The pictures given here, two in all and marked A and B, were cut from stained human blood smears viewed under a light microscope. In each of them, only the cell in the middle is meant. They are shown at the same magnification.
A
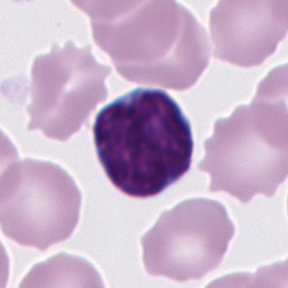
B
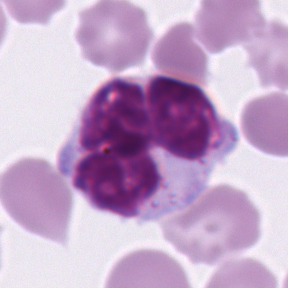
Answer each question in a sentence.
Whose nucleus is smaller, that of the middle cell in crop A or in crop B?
Crop A shows the smaller nucleus, since that in crop B covers about 1.5 times as much area.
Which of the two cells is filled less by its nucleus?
The nucleus fills less of the cell in crop B than in crop A.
